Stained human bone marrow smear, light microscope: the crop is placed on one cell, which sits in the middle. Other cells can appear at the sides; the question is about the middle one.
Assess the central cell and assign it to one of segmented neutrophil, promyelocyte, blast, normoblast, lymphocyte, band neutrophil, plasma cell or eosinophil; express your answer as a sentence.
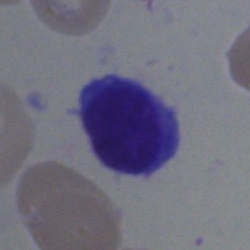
The cell centred in this crop is categorized as a lymphocyte.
